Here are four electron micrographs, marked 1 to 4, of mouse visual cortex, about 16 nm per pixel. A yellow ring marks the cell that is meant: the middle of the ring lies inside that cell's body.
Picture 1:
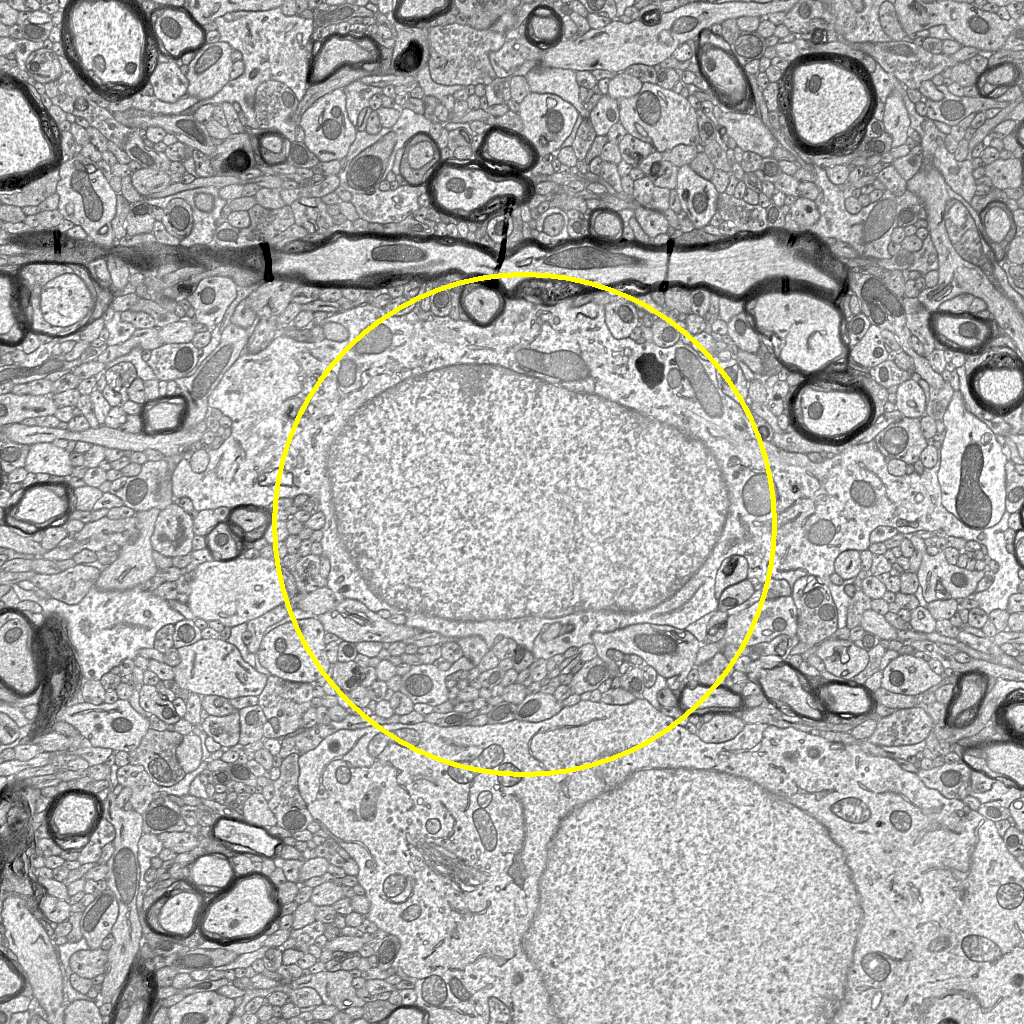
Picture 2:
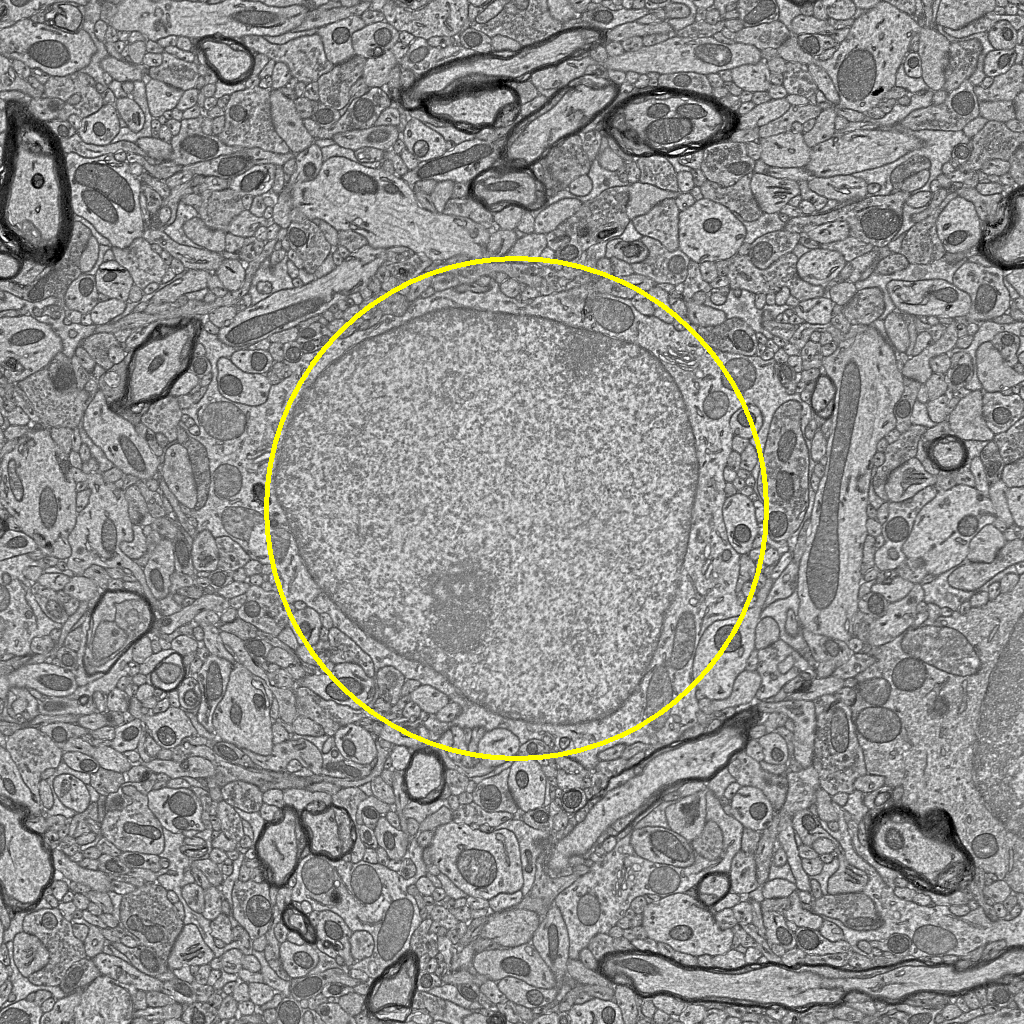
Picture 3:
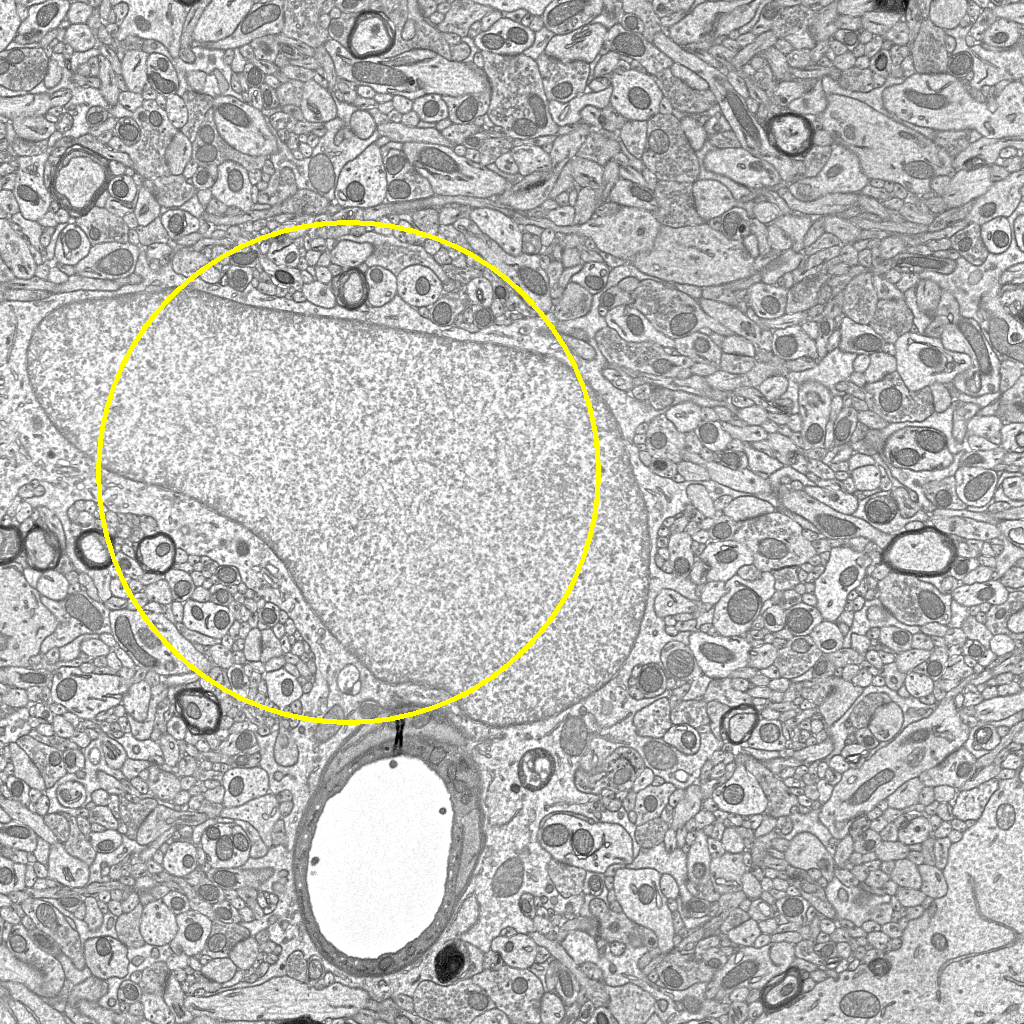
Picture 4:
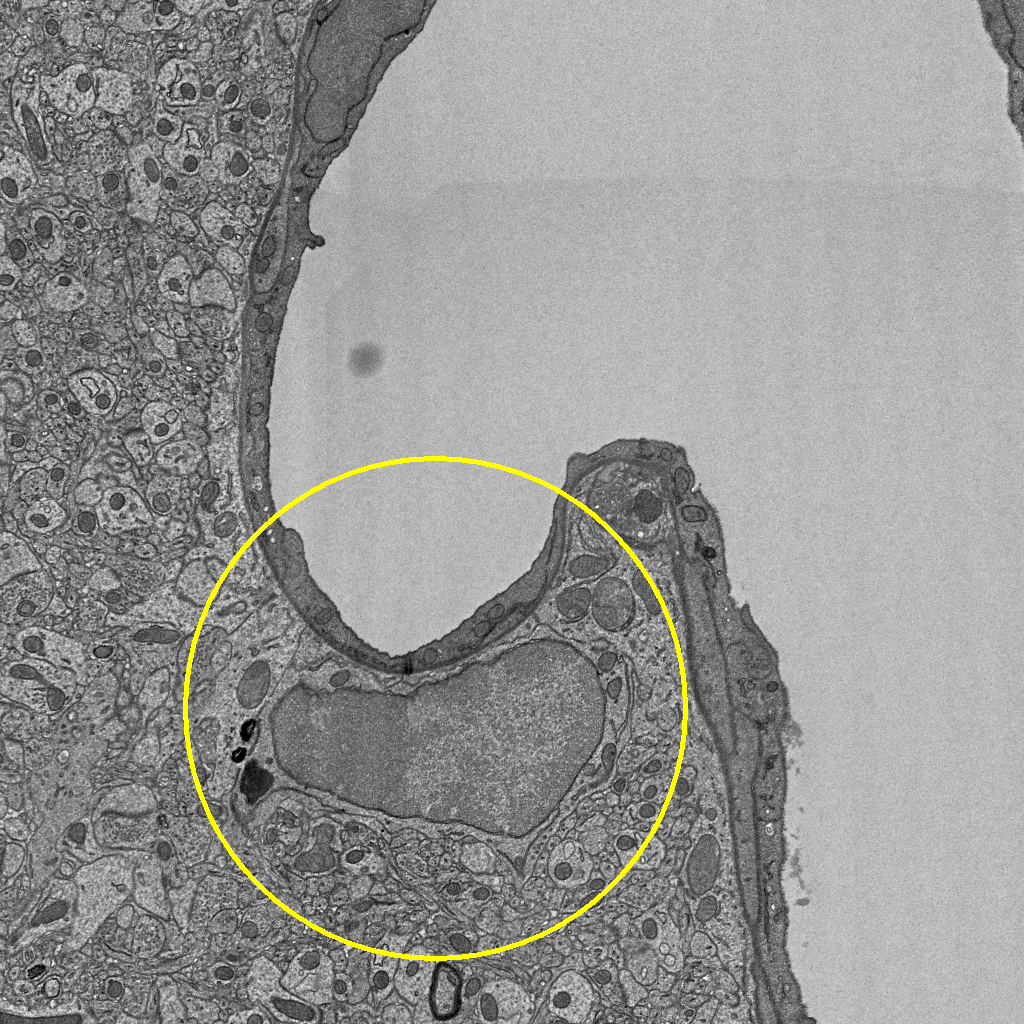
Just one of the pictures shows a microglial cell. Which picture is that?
The cell in picture 4 is the microglial cell.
